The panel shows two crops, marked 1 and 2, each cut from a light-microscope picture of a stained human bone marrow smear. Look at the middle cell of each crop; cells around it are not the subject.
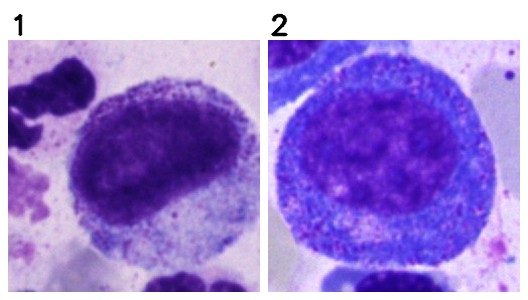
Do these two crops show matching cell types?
yes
